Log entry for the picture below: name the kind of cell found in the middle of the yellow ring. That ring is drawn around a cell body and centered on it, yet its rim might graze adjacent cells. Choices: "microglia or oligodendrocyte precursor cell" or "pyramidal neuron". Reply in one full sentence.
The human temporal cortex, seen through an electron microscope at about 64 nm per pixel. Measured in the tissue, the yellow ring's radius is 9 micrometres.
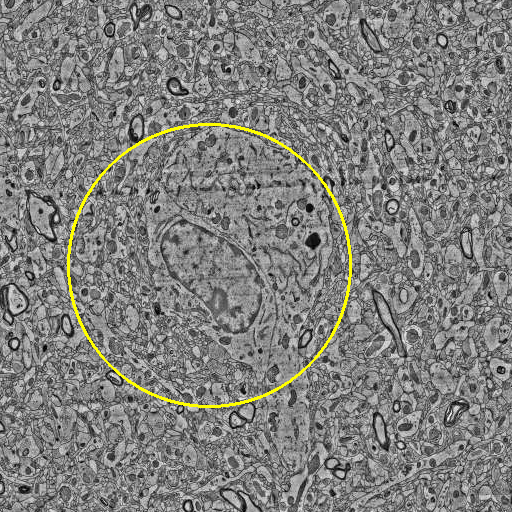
The cell in the middle of the yellow ring in this picture is a microglial cell or oligodendrocyte precursor cell.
